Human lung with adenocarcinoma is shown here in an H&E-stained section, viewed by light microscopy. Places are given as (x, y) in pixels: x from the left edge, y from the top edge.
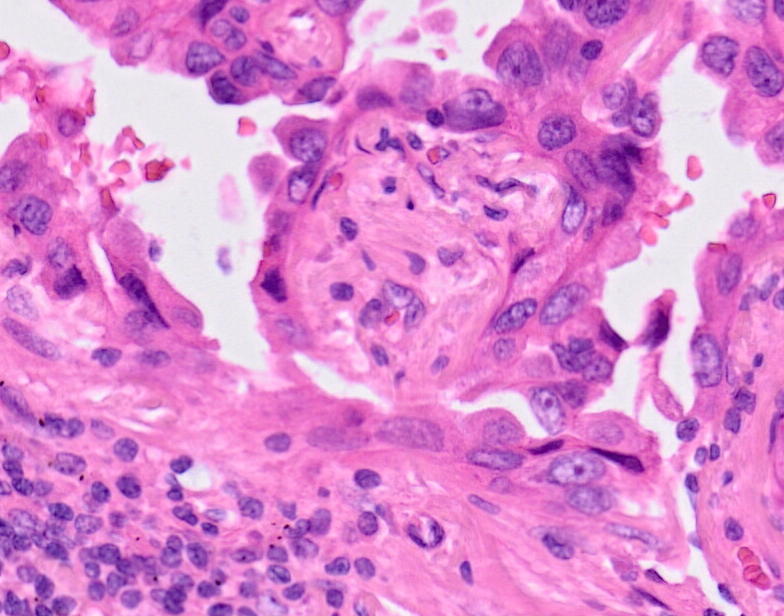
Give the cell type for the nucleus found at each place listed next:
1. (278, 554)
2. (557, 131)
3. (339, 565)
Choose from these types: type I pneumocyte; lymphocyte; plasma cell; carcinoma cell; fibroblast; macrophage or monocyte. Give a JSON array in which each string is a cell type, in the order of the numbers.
["lymphocyte", "carcinoma cell", "lymphocyte"]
